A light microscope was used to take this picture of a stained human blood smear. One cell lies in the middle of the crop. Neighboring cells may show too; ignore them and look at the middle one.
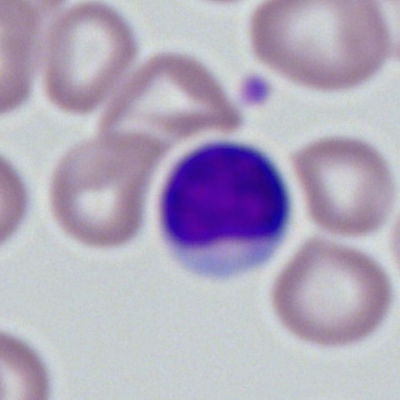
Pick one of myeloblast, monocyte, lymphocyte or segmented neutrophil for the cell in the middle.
lymphocyte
